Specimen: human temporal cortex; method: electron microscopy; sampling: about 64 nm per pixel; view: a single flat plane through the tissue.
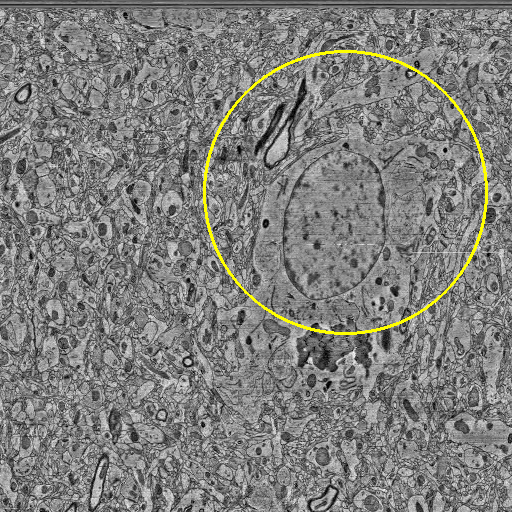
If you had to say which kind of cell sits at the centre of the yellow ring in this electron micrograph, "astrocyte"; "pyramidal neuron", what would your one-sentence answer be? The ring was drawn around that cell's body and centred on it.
The cell sitting at the centre of the ring is an astrocyte.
